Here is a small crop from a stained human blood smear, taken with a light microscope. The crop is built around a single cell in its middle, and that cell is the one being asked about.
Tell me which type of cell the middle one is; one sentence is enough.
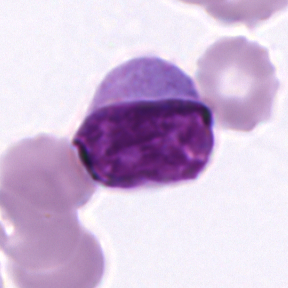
The cell at the centre of the field is a plasma cell.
